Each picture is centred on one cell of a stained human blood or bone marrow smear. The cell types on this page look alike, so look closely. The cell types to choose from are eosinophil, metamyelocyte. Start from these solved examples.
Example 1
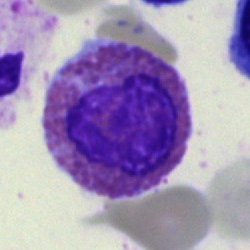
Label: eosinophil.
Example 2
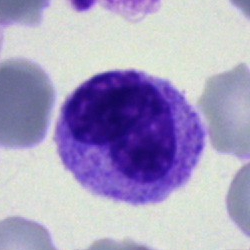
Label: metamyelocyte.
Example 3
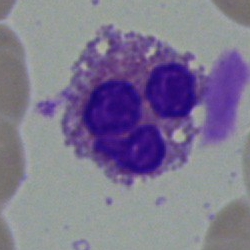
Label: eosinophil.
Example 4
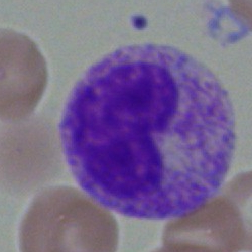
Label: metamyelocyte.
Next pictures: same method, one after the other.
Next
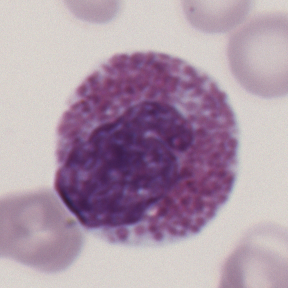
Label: eosinophil.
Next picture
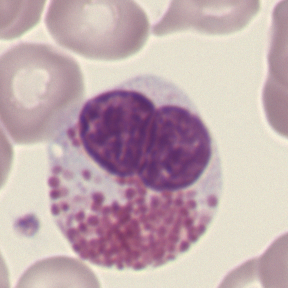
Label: eosinophil.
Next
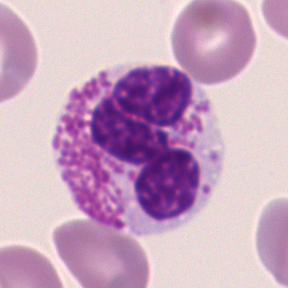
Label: eosinophil.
